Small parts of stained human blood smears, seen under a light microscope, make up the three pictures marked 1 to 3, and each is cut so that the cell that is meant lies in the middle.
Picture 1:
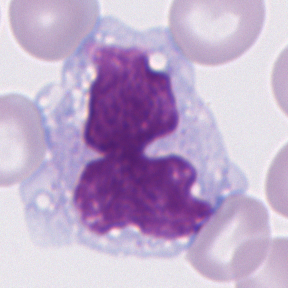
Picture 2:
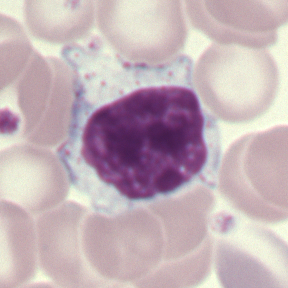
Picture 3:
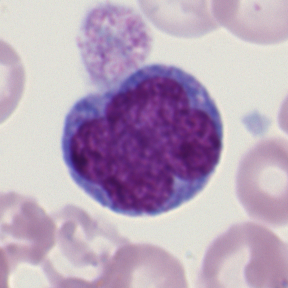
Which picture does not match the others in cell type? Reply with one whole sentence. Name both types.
The different one is picture 2; it shows a large granular lymphocyte, whereas all the others show monocytes.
